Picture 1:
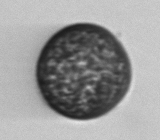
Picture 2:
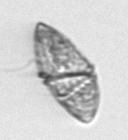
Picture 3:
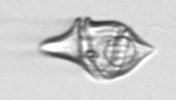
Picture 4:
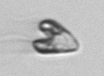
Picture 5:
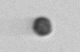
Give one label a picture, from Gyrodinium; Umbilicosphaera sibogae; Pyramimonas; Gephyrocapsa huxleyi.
1. Umbilicosphaera sibogae
2. Gyrodinium
3. Gyrodinium
4. Pyramimonas
5. Gephyrocapsa huxleyi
